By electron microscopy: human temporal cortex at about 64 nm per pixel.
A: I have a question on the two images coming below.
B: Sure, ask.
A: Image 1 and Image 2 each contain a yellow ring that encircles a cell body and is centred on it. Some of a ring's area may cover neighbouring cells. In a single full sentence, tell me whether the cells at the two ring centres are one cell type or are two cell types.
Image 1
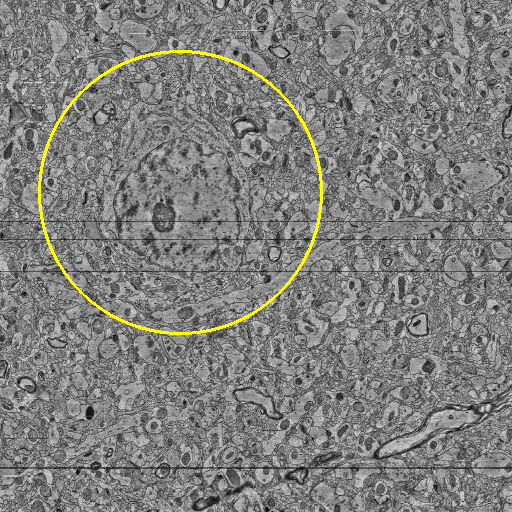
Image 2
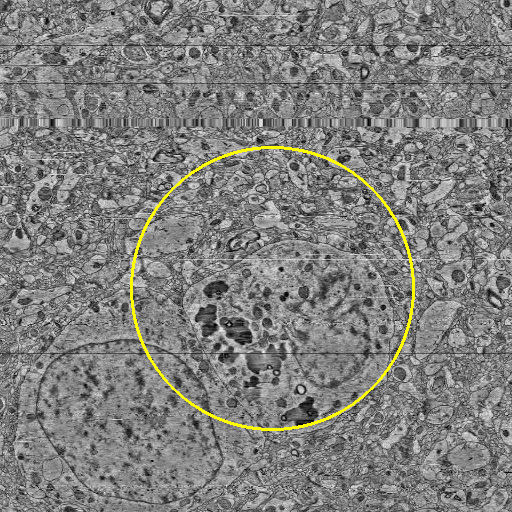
As for the ring-centre cells, the one in Image 1 and the one in Image 2 are one cell type.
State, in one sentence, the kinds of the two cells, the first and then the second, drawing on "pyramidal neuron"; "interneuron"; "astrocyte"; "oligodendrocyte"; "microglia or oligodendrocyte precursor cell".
The ring centre holds an interneuron in each of the two pictures.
